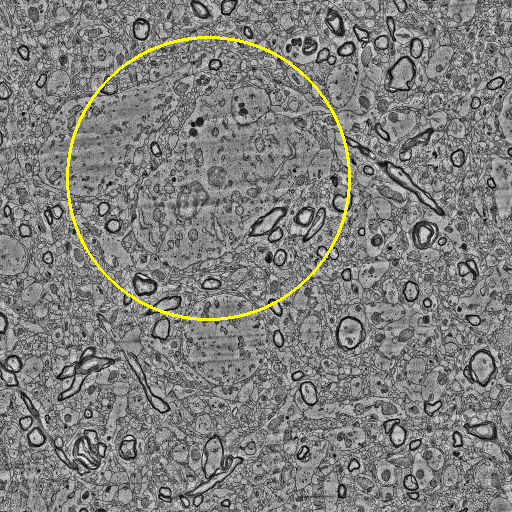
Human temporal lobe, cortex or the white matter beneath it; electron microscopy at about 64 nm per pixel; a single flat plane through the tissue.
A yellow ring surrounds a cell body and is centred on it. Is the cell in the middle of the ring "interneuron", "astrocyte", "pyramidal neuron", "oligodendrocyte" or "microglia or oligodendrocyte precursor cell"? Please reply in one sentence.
The ring is centred on an interneuron.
